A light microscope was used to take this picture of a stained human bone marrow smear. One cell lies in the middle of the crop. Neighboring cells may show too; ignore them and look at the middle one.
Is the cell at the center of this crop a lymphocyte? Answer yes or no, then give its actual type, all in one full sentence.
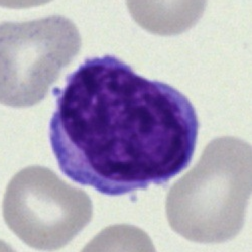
No, the central cell is counted as a blast instead of a lymphocyte.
